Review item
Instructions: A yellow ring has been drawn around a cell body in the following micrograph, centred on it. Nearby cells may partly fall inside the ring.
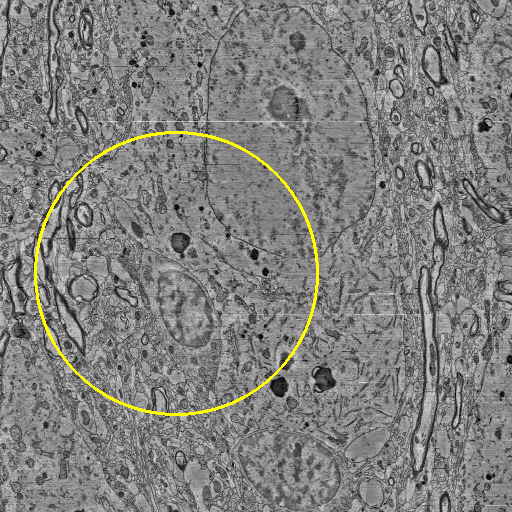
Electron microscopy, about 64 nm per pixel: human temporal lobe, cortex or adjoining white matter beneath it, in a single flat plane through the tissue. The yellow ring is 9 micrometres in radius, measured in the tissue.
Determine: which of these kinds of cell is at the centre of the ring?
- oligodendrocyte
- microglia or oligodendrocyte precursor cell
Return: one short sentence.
The cell body in the middle of the ring is that of an oligodendrocyte.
